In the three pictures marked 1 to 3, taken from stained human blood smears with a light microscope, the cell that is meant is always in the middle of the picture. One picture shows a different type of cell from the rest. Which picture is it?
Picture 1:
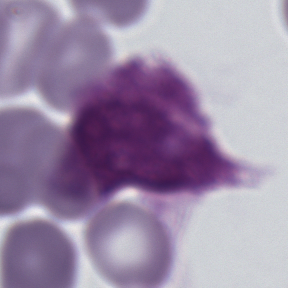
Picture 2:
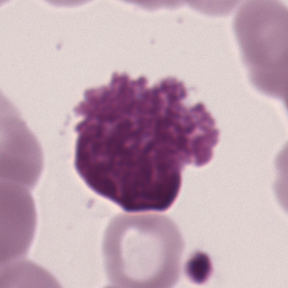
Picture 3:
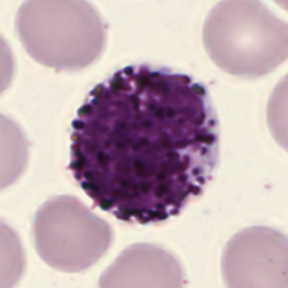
3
